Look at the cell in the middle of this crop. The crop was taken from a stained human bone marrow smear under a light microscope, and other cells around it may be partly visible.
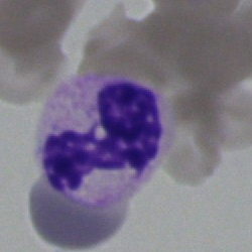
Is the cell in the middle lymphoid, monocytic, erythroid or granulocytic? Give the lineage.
granulocytic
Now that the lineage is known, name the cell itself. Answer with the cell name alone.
segmented neutrophil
